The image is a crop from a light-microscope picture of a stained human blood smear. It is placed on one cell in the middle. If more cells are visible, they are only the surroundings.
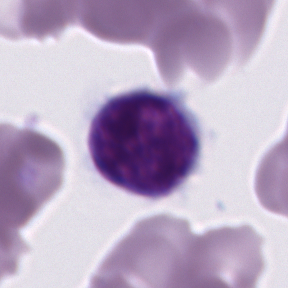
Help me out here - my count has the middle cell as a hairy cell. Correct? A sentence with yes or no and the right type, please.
Yes, the cell that is in the middle is a hairy cell.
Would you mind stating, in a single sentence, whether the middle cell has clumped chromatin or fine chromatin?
You can see that its chromatin is coarsely clumped.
